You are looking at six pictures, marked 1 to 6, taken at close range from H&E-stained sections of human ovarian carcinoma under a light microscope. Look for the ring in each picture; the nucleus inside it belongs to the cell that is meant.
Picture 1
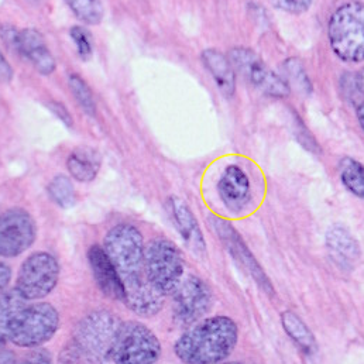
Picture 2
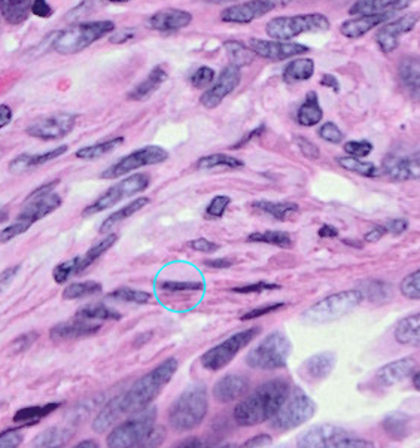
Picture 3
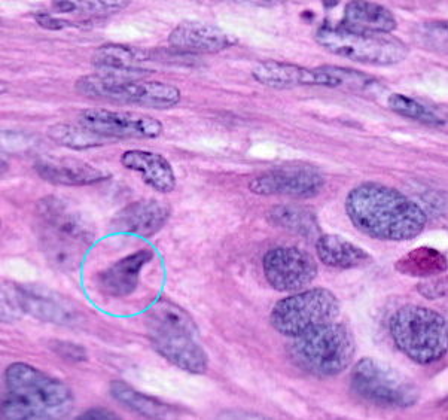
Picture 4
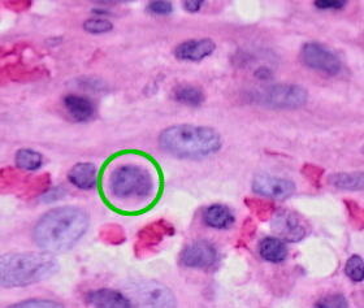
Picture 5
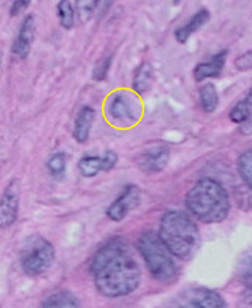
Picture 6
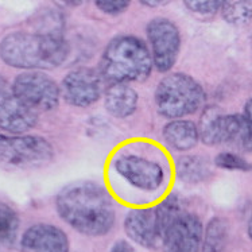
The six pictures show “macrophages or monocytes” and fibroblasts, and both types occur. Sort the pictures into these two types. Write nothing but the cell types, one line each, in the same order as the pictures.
macrophage or monocyte
fibroblast
macrophage or monocyte
macrophage or monocyte
fibroblast
macrophage or monocyte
